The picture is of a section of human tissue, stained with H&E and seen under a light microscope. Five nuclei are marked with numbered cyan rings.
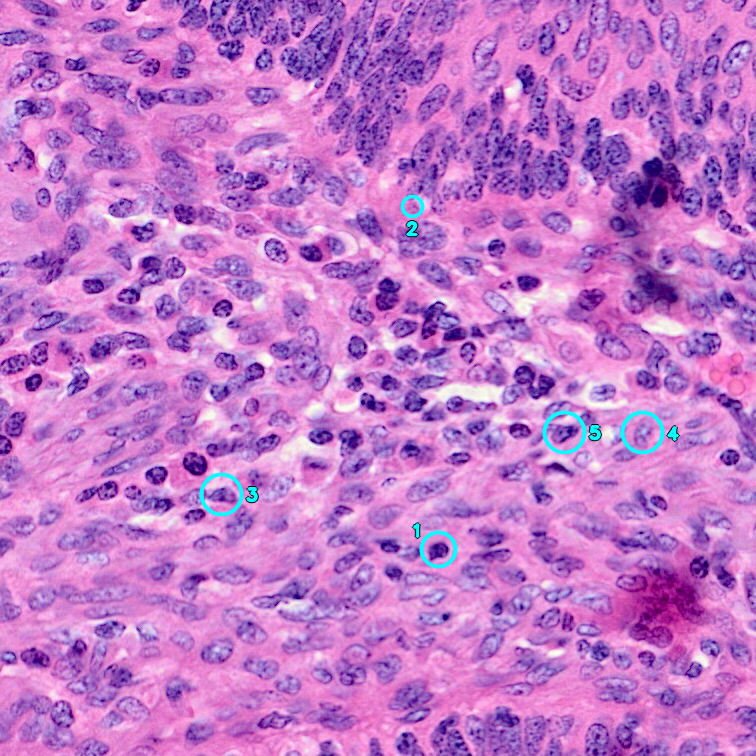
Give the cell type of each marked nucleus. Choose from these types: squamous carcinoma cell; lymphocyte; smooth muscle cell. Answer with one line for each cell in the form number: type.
1: lymphocyte
2: squamous carcinoma cell
3: lymphocyte
4: smooth muscle cell
5: lymphocyte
